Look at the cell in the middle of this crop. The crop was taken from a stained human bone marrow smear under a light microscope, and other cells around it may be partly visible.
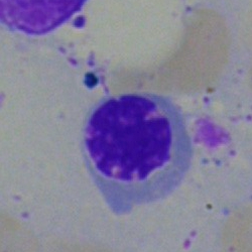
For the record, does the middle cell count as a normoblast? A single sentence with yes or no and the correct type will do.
Yes, the cell positioned at the centre of the crop is a normoblast.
